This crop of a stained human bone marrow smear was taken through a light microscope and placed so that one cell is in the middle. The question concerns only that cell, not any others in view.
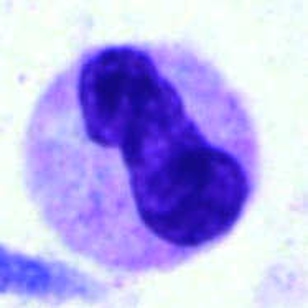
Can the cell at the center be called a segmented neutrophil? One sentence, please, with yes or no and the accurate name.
No, the central cell is counted as a band neutrophil instead of a segmented neutrophil.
